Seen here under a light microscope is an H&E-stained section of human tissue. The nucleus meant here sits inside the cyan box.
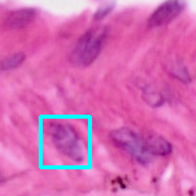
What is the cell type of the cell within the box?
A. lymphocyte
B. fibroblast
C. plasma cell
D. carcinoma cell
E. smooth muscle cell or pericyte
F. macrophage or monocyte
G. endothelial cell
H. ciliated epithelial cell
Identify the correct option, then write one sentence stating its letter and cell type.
Option E names the cell within the box correctly as a smooth muscle cell or pericyte.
